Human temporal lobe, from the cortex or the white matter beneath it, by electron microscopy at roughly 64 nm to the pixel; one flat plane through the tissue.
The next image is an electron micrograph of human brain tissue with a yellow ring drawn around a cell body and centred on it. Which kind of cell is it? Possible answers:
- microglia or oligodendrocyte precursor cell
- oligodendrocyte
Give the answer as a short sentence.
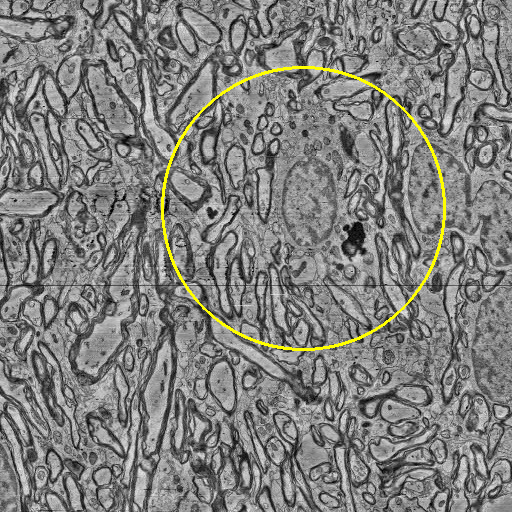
In the ring's centre is an oligodendrocyte.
